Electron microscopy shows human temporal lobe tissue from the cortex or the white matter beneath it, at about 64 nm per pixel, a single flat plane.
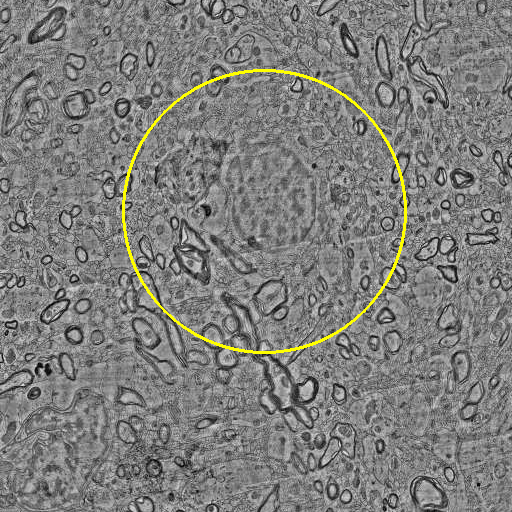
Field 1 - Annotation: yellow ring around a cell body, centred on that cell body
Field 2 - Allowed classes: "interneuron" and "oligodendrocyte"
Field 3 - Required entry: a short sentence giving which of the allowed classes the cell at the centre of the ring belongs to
The centred cell is an oligodendrocyte.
